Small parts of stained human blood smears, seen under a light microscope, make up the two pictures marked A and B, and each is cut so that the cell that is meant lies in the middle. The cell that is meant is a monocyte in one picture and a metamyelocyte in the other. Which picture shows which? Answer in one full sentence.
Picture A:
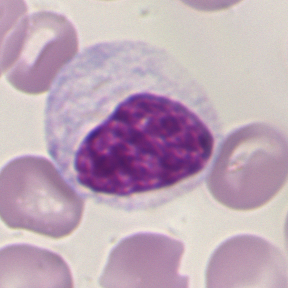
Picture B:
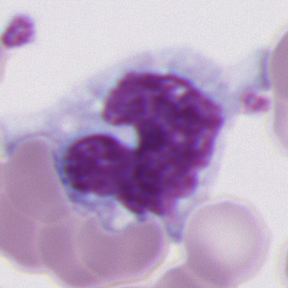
In picture A the cell is a metamyelocyte; in picture B, a monocyte.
